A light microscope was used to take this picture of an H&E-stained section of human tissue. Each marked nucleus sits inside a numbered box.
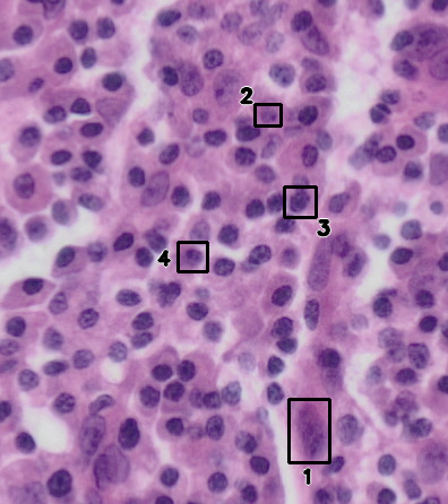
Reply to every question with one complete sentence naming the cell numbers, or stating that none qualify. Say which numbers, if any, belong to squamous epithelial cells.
Cell 1 is a squamous epithelial cell, and it is the only numbered cell that is.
